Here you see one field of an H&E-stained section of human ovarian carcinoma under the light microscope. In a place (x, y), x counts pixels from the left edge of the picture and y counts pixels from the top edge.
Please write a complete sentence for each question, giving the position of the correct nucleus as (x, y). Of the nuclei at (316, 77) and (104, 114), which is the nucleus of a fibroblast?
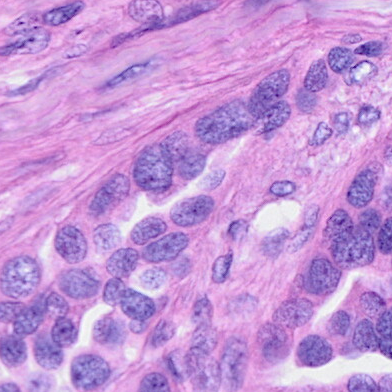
The member of the pair belonging to a fibroblast is the nucleus at (104, 114).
